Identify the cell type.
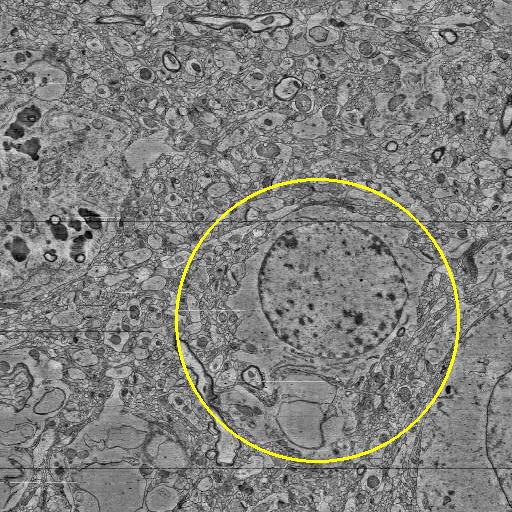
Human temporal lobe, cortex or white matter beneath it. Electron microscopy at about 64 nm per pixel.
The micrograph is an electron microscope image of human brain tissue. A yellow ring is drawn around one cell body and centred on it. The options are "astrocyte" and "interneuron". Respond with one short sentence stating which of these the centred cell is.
The cell body in the ring belongs to an astrocyte.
